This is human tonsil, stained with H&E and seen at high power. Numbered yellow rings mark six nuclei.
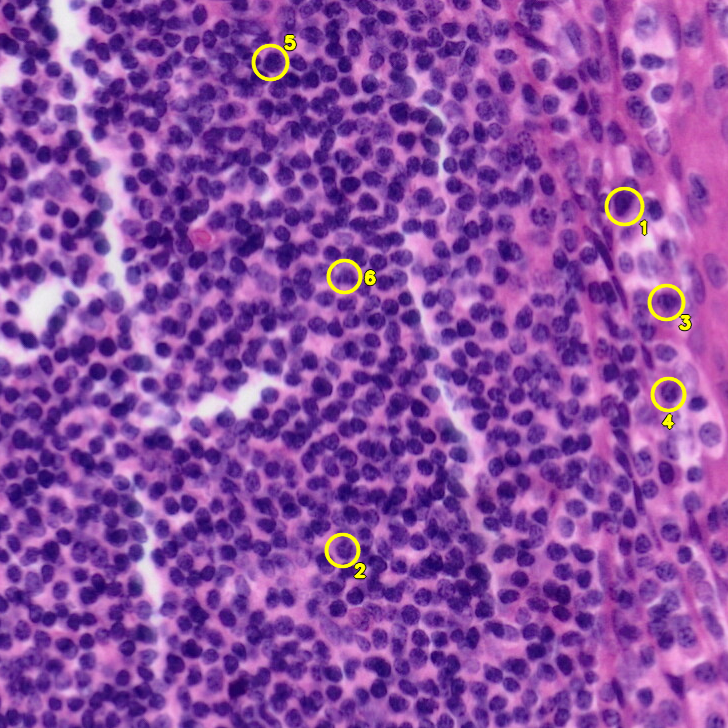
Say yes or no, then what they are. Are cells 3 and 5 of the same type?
No, cell 3 is a plasma cell, whereas a small lymphocyte is what cell 5 is.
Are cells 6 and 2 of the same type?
Yes, that is right: cells 6 and 2 are both small lymphocytes.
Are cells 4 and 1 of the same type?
No, cell 4 is a plasma cell and cell 1, for its part, is a squamous epithelial cell.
